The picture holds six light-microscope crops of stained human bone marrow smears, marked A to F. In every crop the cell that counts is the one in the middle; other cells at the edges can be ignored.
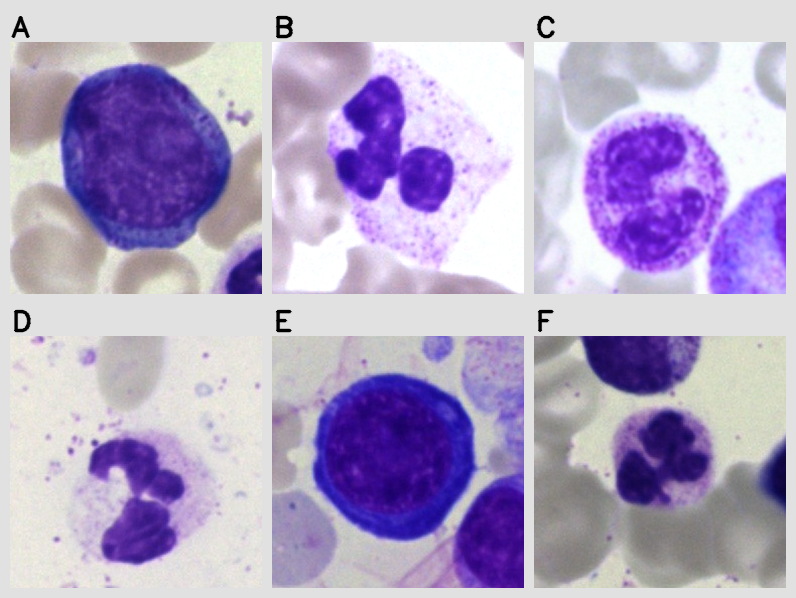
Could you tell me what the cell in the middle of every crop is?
A: proerythroblast
B: segmented neutrophil
C: segmented neutrophil
D: segmented neutrophil
E: proerythroblast
F: segmented neutrophil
